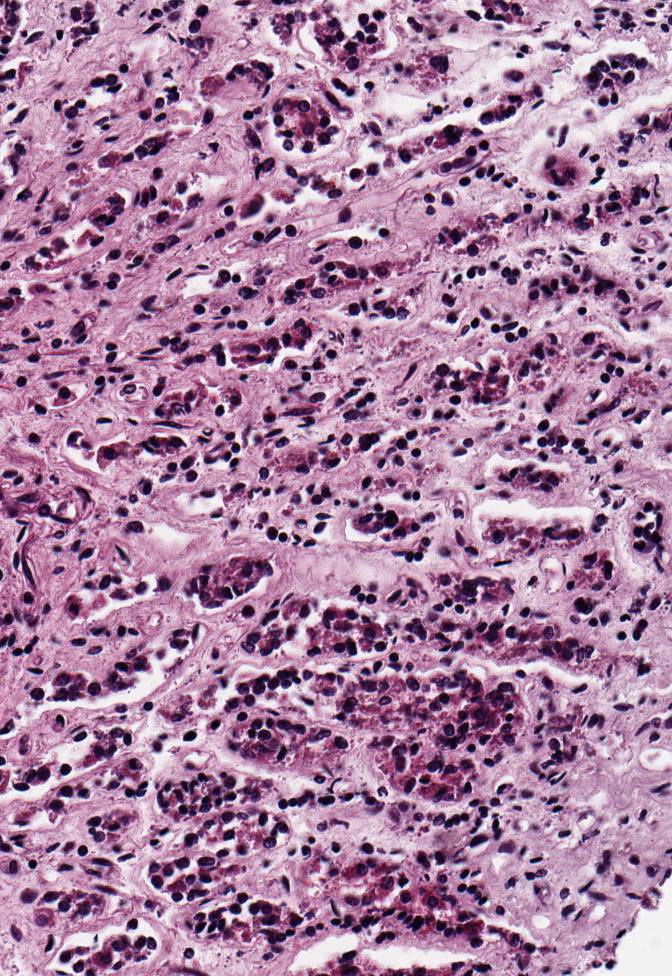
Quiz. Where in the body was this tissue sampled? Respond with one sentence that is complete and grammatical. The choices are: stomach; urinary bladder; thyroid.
The tissue seen in this section was sampled from the stomach.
